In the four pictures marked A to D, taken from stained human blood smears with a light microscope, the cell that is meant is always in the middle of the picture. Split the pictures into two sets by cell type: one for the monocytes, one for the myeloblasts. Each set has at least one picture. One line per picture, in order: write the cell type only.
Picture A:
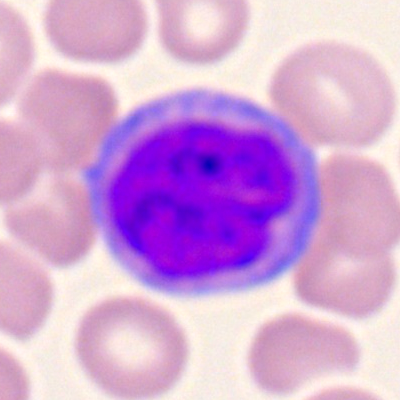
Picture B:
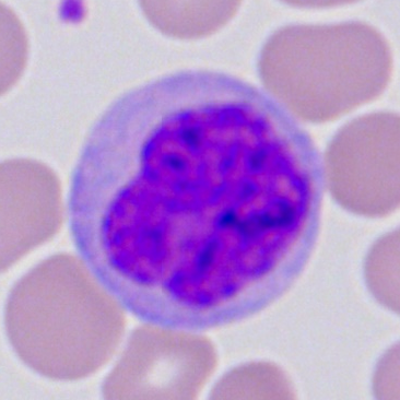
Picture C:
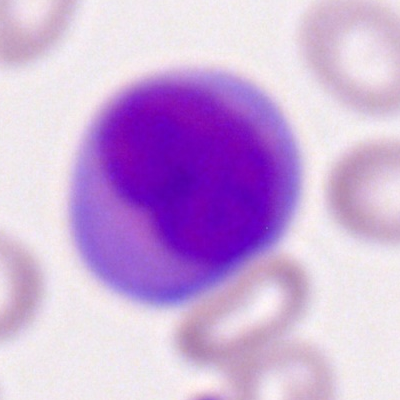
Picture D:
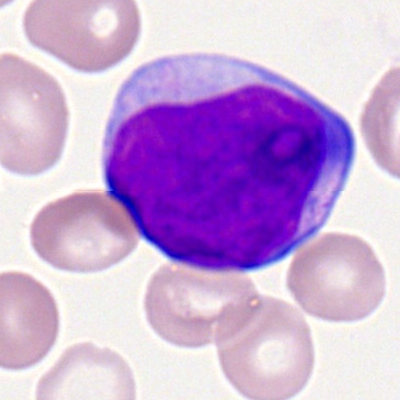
monocyte
monocyte
myeloblast
myeloblast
